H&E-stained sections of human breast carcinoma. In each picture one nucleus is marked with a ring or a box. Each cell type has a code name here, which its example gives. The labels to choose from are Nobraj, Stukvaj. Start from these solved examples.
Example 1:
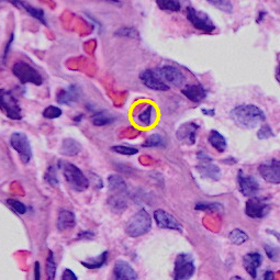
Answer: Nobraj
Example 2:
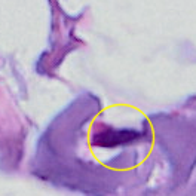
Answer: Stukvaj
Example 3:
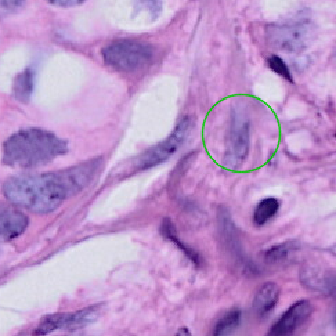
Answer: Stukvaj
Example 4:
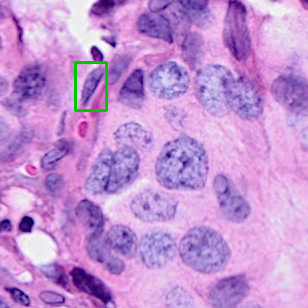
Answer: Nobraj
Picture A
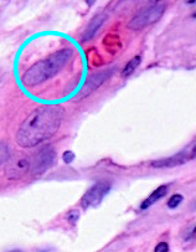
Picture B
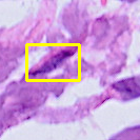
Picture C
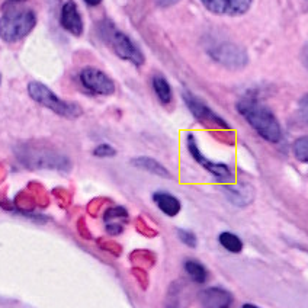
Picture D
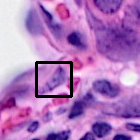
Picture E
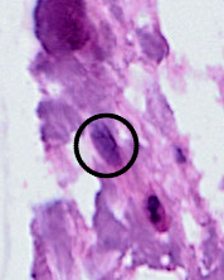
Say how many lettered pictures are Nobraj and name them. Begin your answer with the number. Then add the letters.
Count: 3 (A, C, D)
